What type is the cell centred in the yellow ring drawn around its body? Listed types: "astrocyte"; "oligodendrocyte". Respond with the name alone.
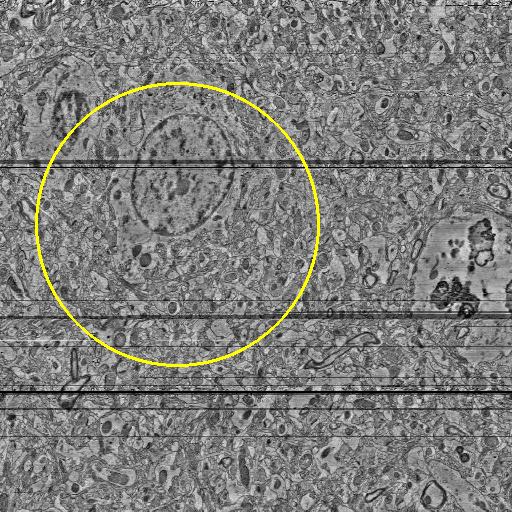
astrocyte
